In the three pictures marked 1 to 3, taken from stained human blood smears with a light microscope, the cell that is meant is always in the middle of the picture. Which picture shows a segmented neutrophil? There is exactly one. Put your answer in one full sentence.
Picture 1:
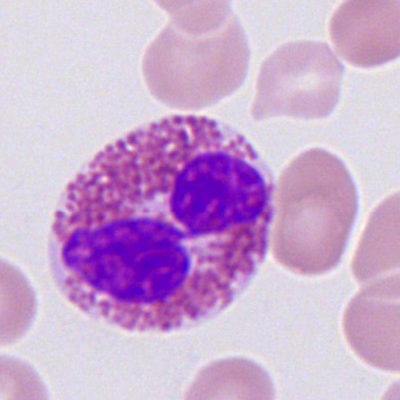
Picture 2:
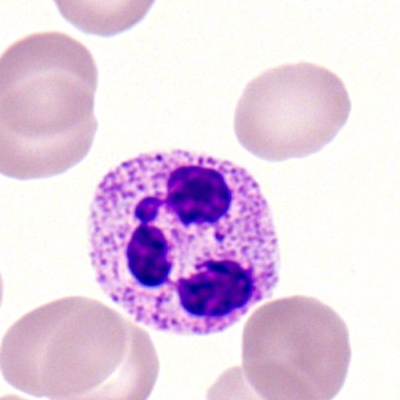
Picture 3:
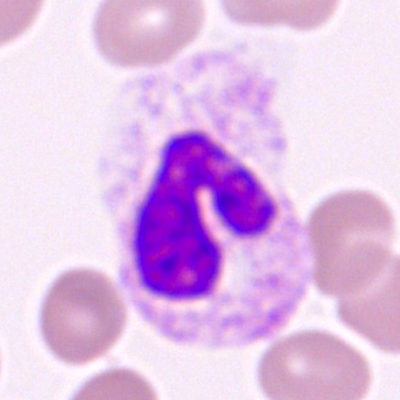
Picture 2 shows the segmented neutrophil.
